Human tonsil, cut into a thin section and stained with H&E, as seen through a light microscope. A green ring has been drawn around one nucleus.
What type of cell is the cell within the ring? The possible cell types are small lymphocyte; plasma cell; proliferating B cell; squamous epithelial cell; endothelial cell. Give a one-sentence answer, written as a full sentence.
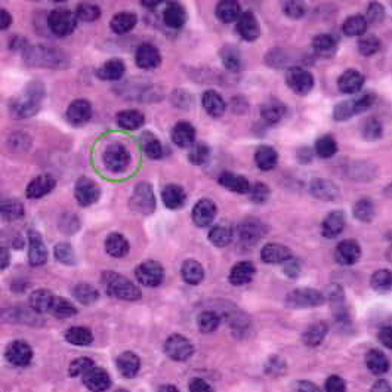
The category to which the cell within the ring belongs is that of a plasma cell.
